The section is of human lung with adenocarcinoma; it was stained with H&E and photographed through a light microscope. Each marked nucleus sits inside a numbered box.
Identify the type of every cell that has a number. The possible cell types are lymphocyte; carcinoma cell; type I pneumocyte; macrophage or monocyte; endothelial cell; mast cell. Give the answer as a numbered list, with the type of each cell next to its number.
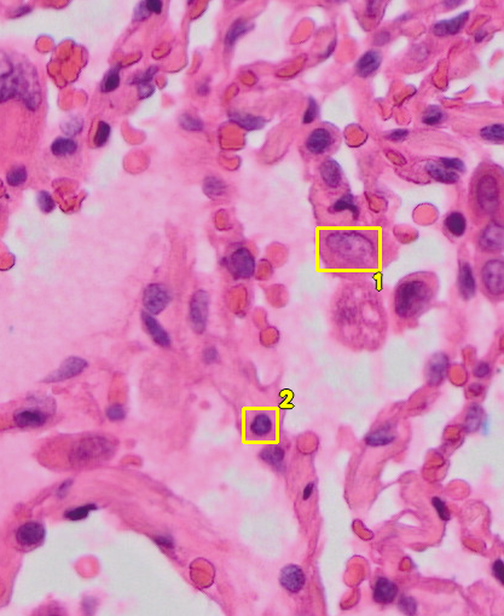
1. macrophage or monocyte
2. mast cell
